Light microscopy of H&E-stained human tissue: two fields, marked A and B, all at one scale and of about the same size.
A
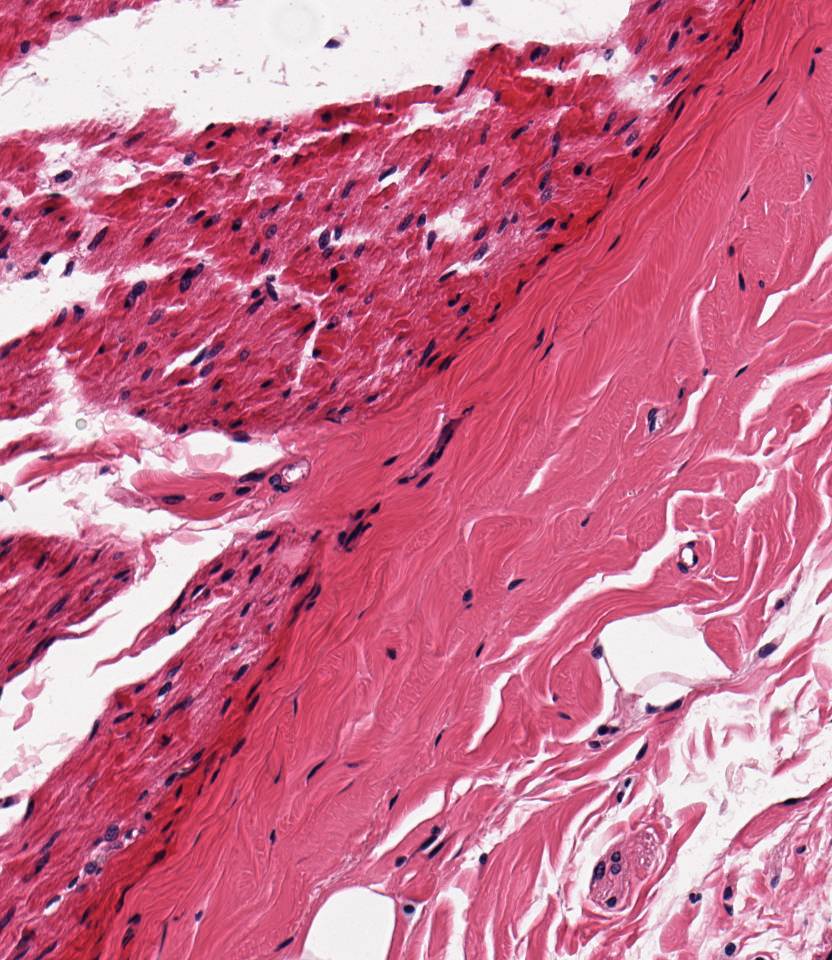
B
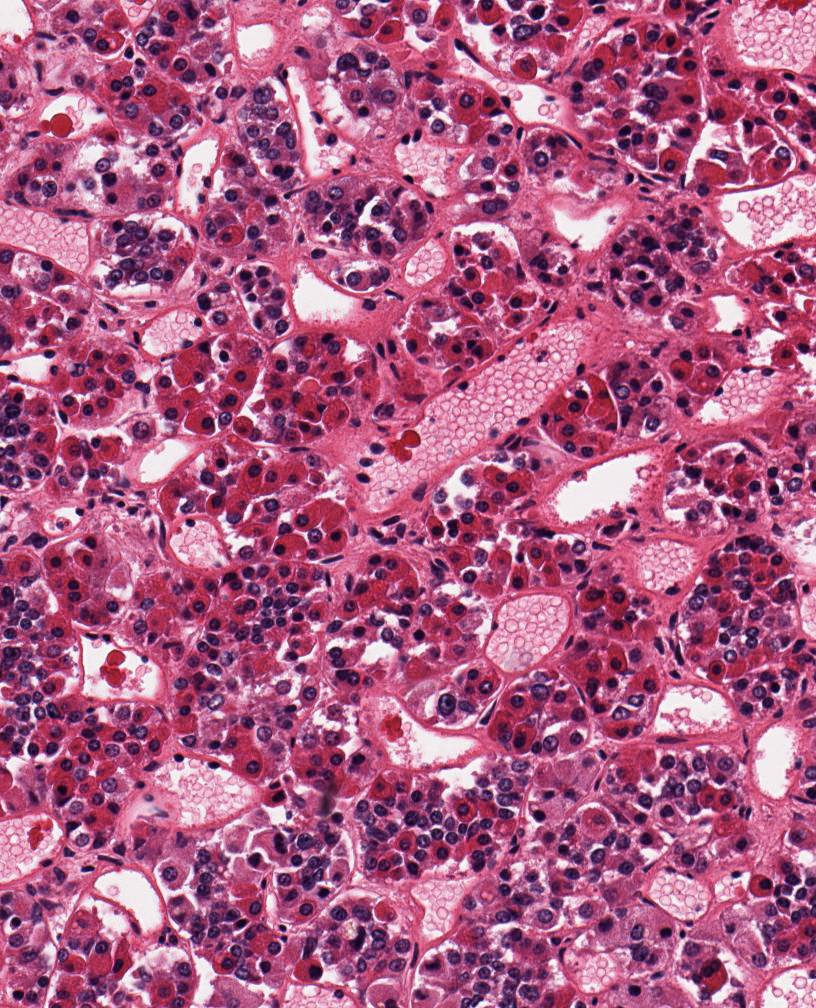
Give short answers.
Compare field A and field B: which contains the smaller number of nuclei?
A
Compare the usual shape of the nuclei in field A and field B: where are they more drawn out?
A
